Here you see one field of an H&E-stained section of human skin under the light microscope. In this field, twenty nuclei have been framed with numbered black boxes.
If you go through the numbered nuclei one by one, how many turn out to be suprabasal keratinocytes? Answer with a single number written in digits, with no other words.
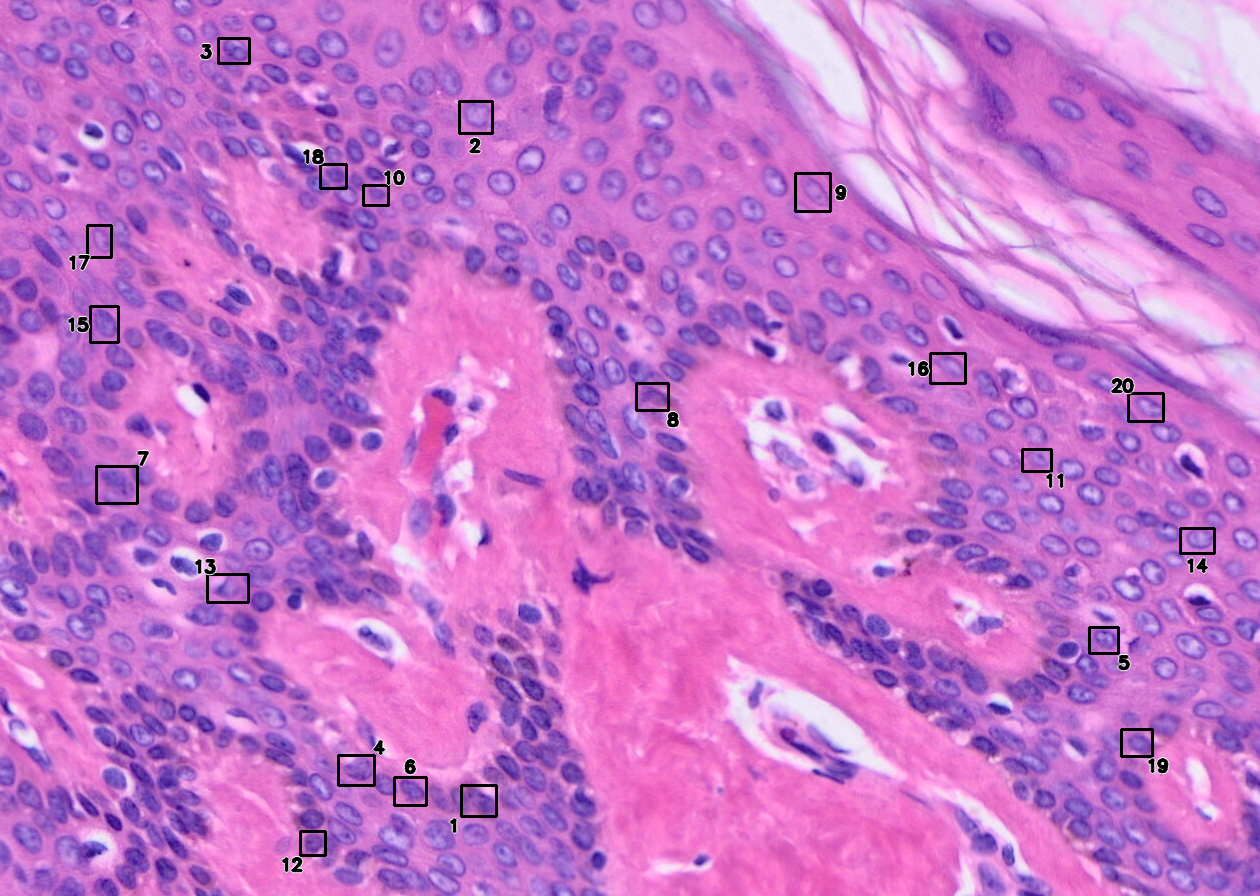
10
